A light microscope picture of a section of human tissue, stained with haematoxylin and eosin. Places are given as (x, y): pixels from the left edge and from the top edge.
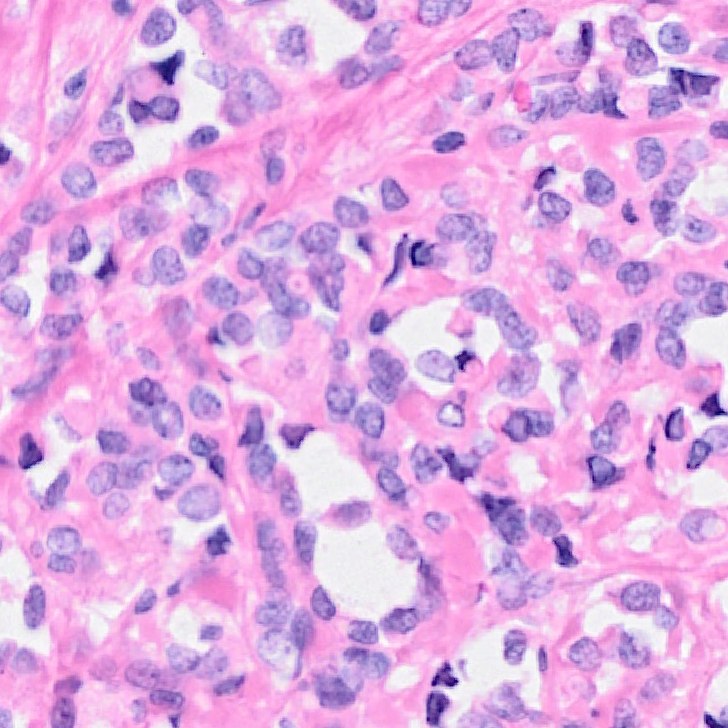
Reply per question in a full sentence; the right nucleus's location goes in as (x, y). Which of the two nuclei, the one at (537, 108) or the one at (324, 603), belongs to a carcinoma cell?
The nucleus at (324, 603) is identified as belonging to a carcinoma cell.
